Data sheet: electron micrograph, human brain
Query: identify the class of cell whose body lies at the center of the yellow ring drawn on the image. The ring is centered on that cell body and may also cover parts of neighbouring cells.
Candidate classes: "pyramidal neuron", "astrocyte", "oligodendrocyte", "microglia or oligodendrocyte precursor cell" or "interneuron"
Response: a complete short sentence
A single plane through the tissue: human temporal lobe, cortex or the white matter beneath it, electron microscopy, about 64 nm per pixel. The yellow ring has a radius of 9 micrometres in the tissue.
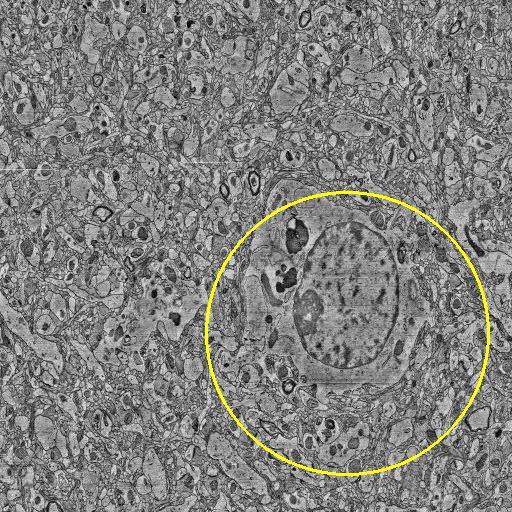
At the center of the ring lies an astrocyte.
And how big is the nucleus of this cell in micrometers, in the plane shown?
Roughly 10 by 7 micrometres is the size of the nucleus in this plane.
